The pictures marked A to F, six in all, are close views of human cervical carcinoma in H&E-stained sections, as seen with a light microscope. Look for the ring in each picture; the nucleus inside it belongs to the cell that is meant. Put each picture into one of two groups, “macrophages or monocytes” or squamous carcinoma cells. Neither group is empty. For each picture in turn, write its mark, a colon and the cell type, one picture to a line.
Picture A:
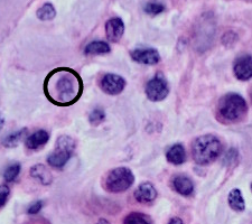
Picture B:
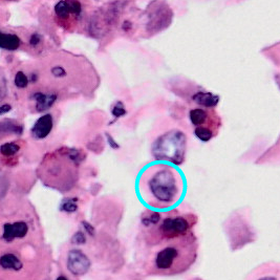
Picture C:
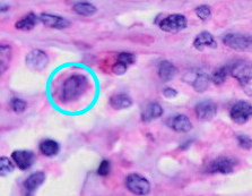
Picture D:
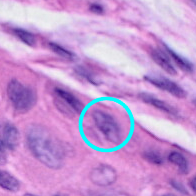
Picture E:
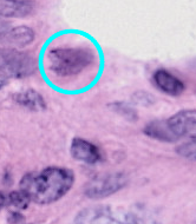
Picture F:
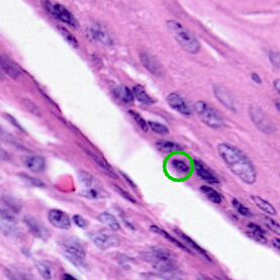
A: macrophage or monocyte
B: squamous carcinoma cell
C: macrophage or monocyte
D: squamous carcinoma cell
E: squamous carcinoma cell
F: squamous carcinoma cell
